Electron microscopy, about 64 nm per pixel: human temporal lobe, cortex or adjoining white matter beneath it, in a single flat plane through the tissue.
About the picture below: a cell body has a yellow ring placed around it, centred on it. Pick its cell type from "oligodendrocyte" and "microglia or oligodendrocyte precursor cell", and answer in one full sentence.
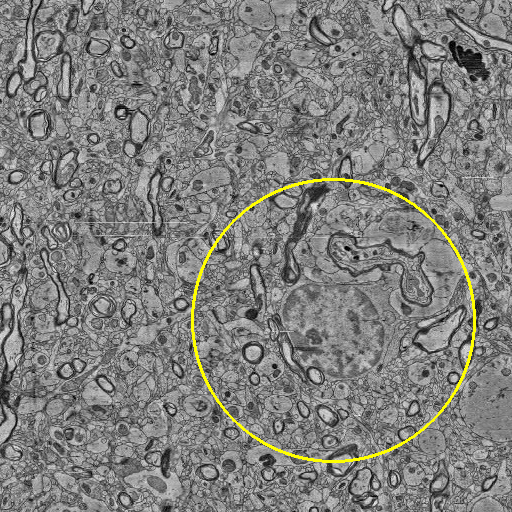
In the picture, an oligodendrocyte is the cell sitting at the centre of the yellow ring.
